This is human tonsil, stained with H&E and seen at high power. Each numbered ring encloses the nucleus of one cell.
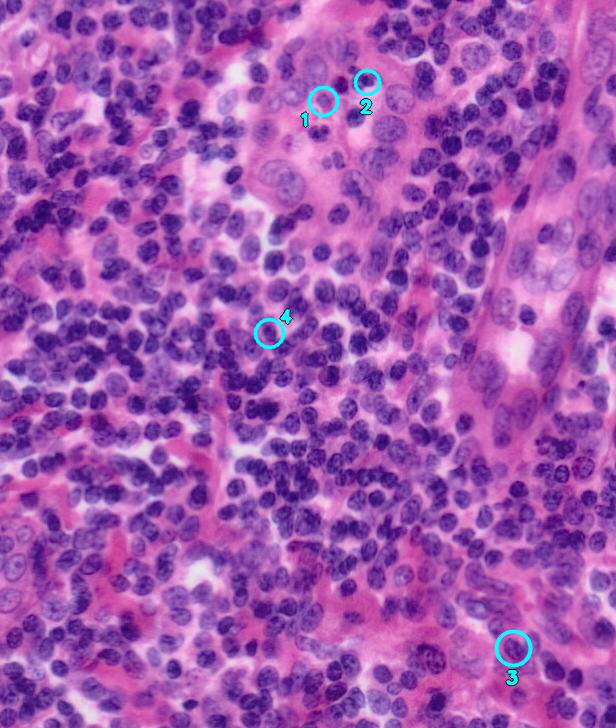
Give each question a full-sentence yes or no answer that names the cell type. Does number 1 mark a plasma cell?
No. Cell number 1 is an endothelial cell, not a plasma cell.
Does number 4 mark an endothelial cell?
No, cell 4 isn't an endothelial cell; it's a small lymphocyte.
